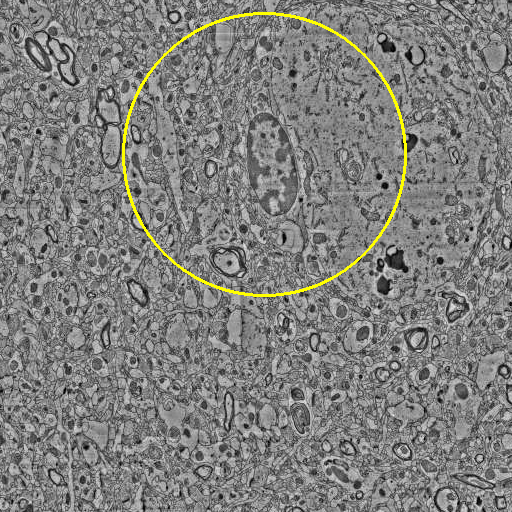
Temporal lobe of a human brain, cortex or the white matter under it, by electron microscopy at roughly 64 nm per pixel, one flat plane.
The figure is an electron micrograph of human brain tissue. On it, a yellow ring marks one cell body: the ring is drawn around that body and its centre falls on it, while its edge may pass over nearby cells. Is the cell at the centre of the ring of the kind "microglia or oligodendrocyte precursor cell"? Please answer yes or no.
yes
